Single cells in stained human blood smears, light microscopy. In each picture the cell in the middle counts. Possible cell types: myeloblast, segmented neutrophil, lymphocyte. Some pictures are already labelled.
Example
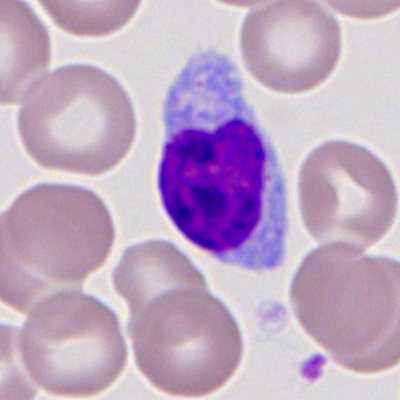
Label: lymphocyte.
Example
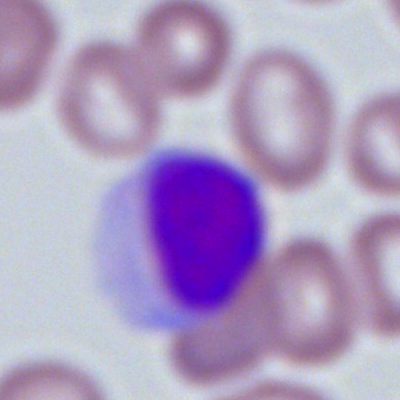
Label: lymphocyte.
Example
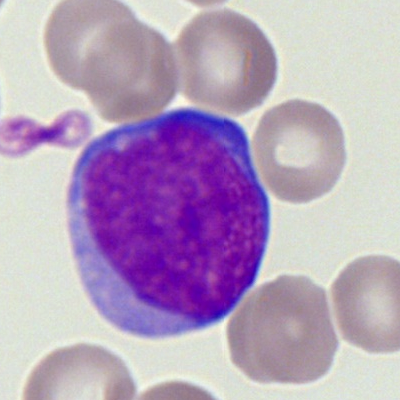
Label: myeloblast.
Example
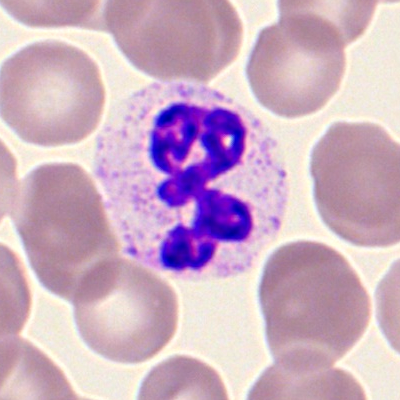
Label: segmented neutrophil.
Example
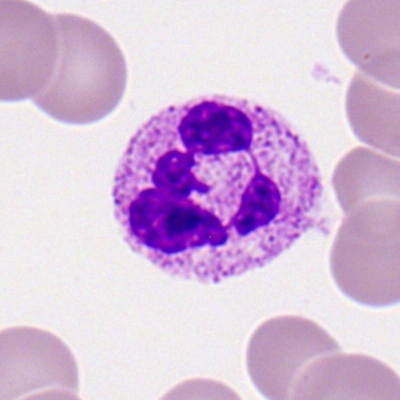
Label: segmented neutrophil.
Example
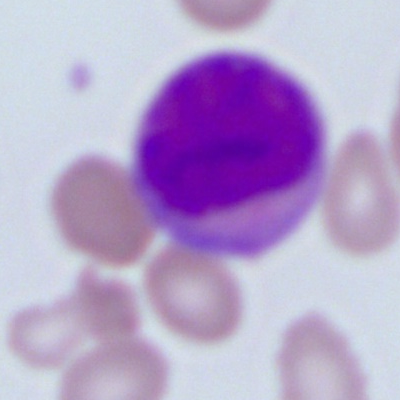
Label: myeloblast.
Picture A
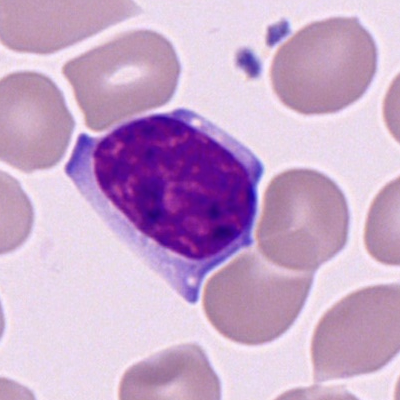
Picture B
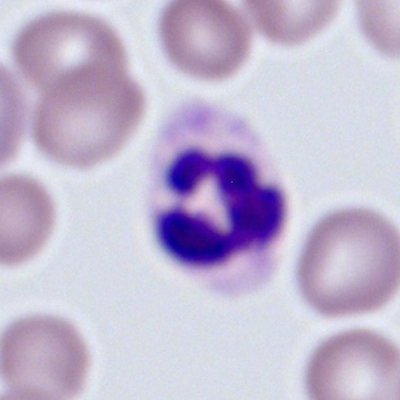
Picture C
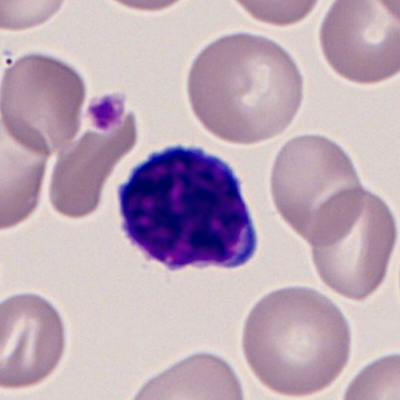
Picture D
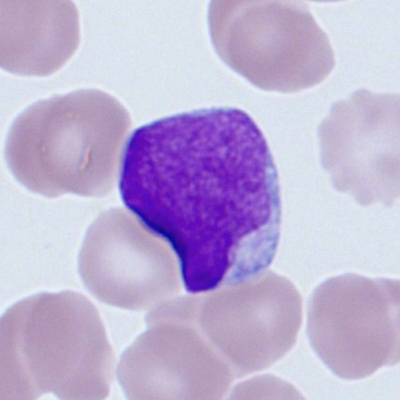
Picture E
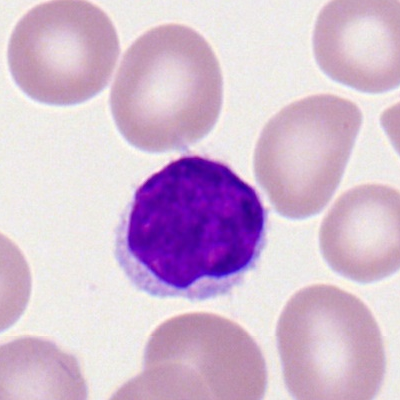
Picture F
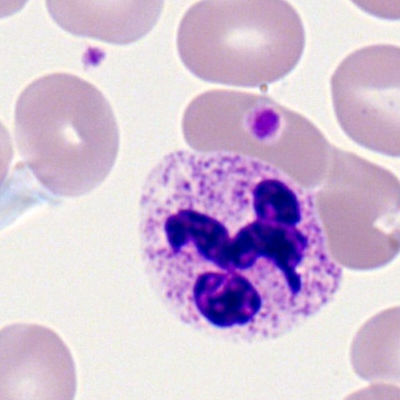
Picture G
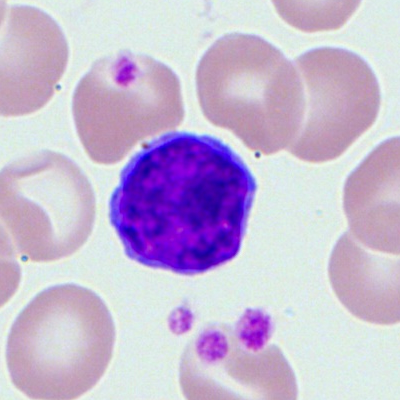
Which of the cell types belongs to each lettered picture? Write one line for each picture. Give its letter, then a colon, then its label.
A: lymphocyte.
B: segmented neutrophil.
C: lymphocyte.
D: myeloblast.
E: lymphocyte.
F: segmented neutrophil.
G: lymphocyte.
